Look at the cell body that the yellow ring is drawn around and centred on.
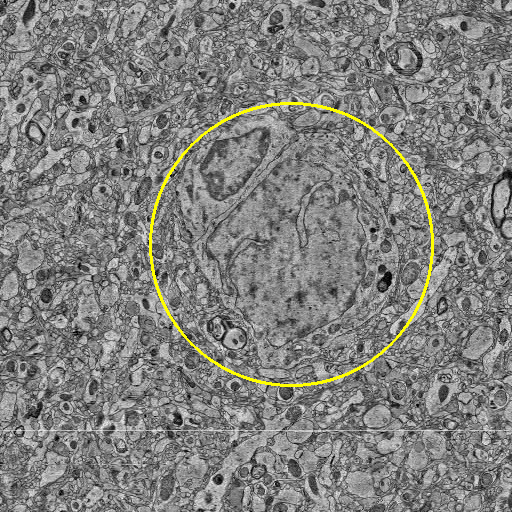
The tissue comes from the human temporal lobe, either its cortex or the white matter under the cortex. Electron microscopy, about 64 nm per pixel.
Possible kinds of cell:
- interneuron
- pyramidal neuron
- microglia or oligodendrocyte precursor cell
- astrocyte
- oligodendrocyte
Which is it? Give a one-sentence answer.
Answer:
The centred cell body is that of an interneuron.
